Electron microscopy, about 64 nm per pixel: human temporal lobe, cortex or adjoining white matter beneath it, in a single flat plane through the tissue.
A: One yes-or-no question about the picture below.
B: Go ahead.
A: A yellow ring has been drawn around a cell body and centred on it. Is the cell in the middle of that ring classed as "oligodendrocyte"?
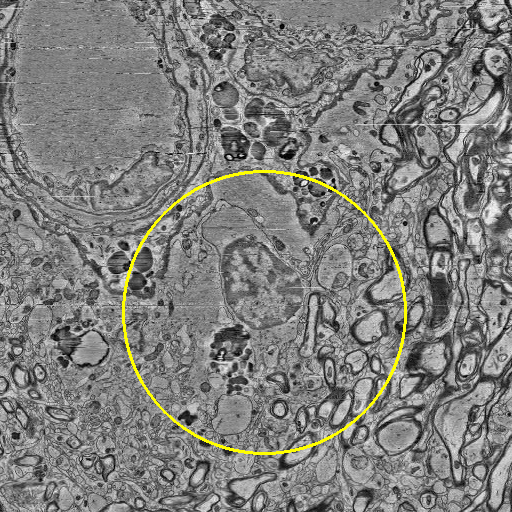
No, it is classed as another kind.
